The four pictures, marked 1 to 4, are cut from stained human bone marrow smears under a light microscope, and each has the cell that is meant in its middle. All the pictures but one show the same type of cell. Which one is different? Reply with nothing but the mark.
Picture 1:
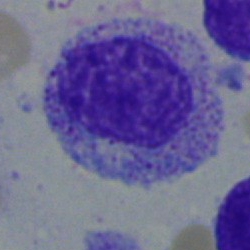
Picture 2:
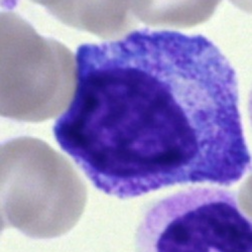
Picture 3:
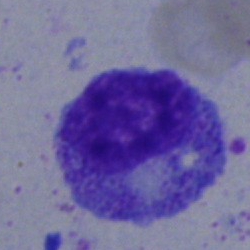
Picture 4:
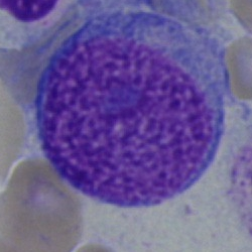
4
